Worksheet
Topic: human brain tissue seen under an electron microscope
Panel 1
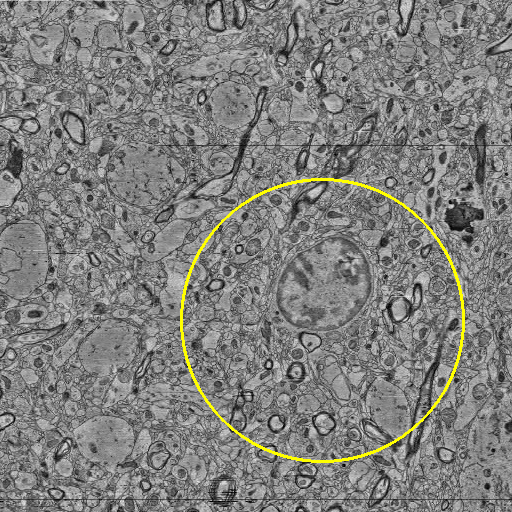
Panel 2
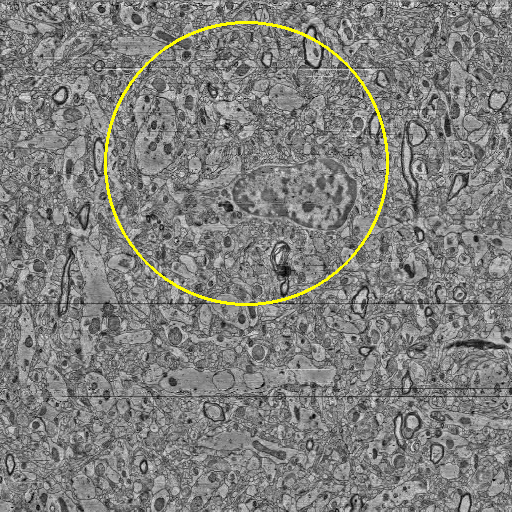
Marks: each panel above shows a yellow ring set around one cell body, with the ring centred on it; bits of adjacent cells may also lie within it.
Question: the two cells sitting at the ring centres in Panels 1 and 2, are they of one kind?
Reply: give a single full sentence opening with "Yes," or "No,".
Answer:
No, the two ring-centre cells in Panel 1 and Panel 2 are of two kinds.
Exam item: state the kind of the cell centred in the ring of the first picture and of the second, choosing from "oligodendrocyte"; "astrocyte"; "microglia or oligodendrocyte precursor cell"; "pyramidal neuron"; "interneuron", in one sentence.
The first picture shows an oligodendrocyte at the ring centre and the second shows a microglial cell or oligodendrocyte precursor cell.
